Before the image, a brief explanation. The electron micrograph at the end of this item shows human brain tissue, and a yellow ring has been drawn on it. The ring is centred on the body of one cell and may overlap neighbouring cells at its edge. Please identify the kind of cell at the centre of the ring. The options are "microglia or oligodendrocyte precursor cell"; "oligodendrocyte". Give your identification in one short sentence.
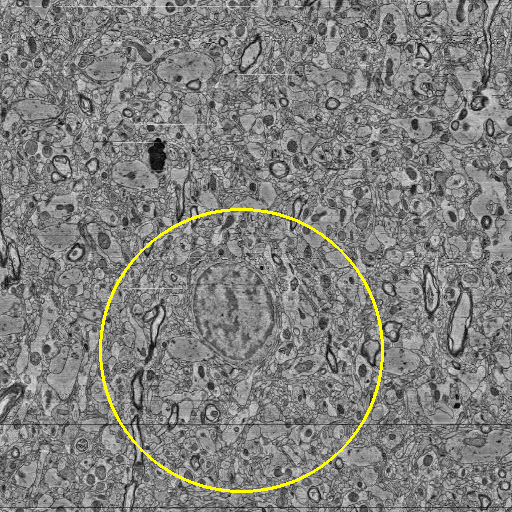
The ring has been placed around an oligodendrocyte.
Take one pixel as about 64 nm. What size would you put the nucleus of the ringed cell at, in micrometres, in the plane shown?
About 7 micrometres by about 5 micrometres in this plane.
